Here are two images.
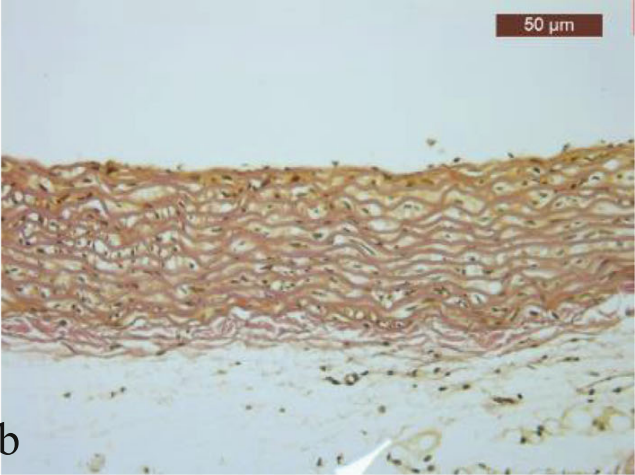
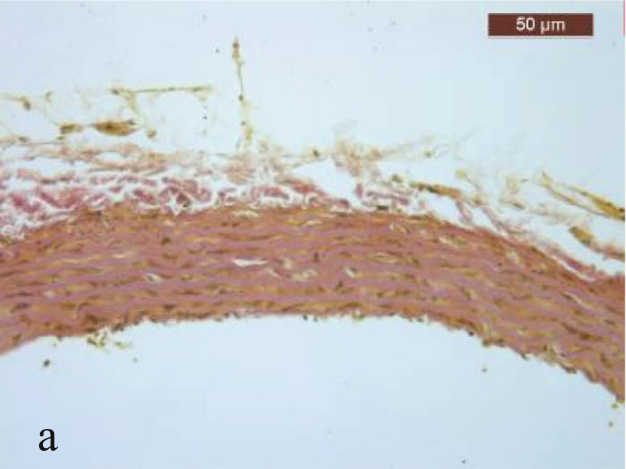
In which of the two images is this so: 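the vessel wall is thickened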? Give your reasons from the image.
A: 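First image: the lamellar wall occupies a broad band with many stacked wavy layers. Second image: the lamellar wall is a narrower curved band at the same scale. The answer: the first image.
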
